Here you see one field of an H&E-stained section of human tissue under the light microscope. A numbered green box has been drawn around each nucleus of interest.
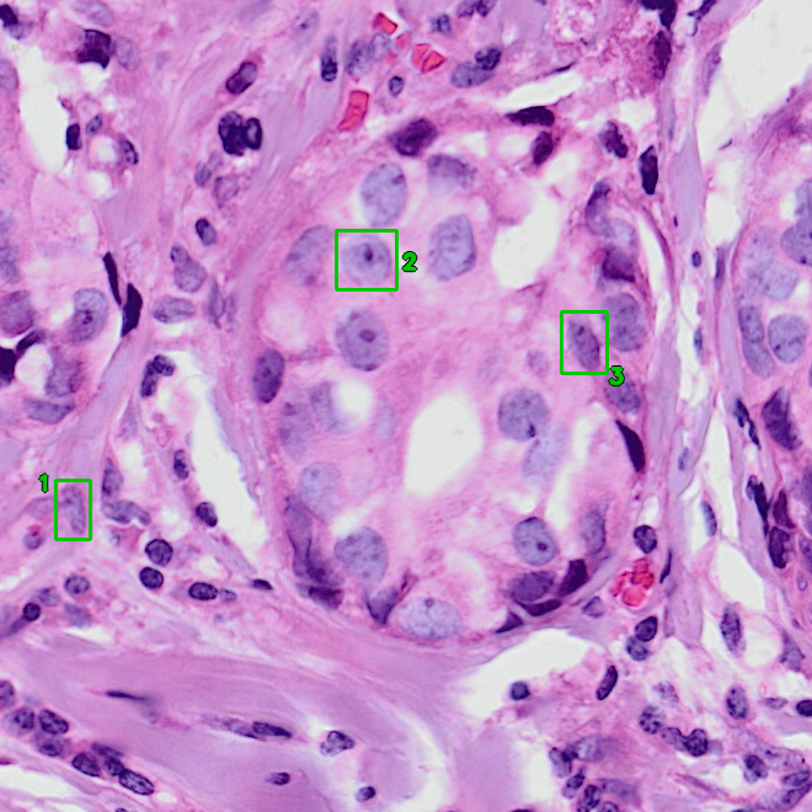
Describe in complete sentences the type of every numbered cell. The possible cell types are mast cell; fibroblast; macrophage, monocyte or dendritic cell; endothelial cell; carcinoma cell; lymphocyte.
Cell 1 is an endothelial cell. Cells 2 and 3 are carcinoma cells.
